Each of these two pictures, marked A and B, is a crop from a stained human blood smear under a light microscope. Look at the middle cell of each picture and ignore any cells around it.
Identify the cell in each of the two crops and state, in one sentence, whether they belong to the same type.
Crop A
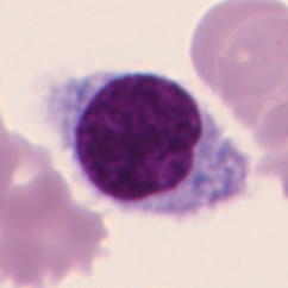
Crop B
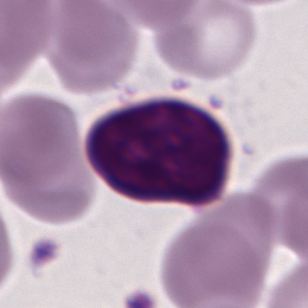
No, in fact crop A shows a hairy cell, and crop B shows a smudge cell.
